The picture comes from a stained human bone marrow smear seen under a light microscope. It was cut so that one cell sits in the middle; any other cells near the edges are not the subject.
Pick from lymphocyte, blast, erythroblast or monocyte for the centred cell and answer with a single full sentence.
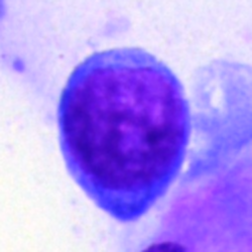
In this smear crop, the middle cell is a blast.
